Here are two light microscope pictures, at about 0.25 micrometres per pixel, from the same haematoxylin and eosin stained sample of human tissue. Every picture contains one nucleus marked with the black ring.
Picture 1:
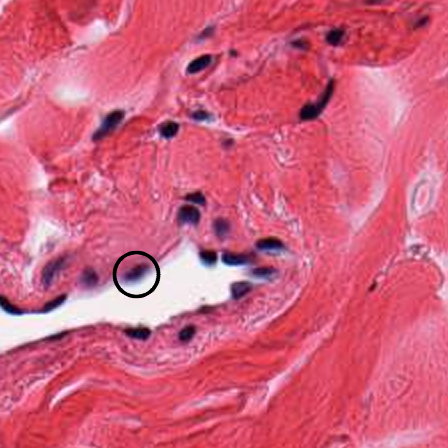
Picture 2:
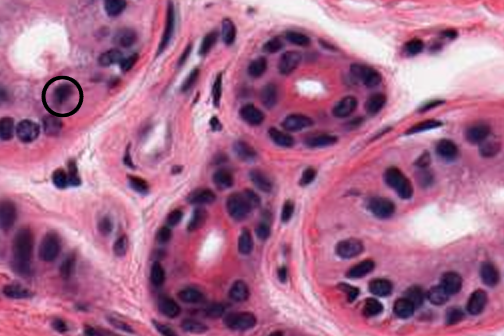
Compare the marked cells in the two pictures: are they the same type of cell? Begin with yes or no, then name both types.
No, the first is an endothelial cell and the second a sweat gland cell.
